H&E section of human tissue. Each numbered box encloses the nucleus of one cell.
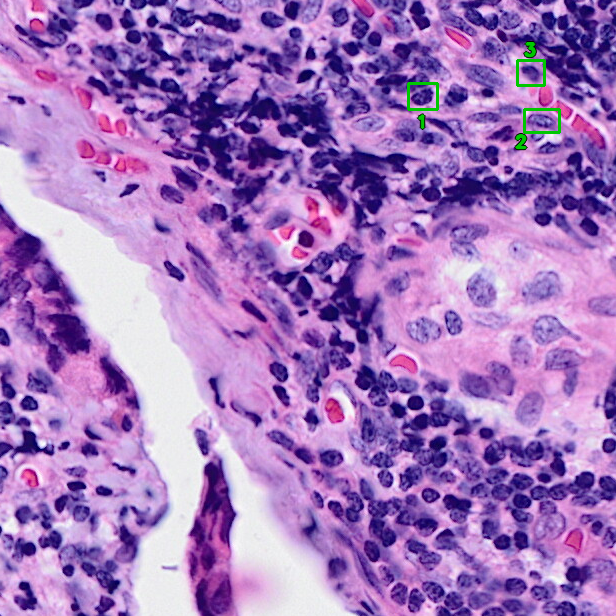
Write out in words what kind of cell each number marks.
Cell 1 is a lymphocyte, cell 2 is an endothelial cell and cell 3 is a lymphocyte.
